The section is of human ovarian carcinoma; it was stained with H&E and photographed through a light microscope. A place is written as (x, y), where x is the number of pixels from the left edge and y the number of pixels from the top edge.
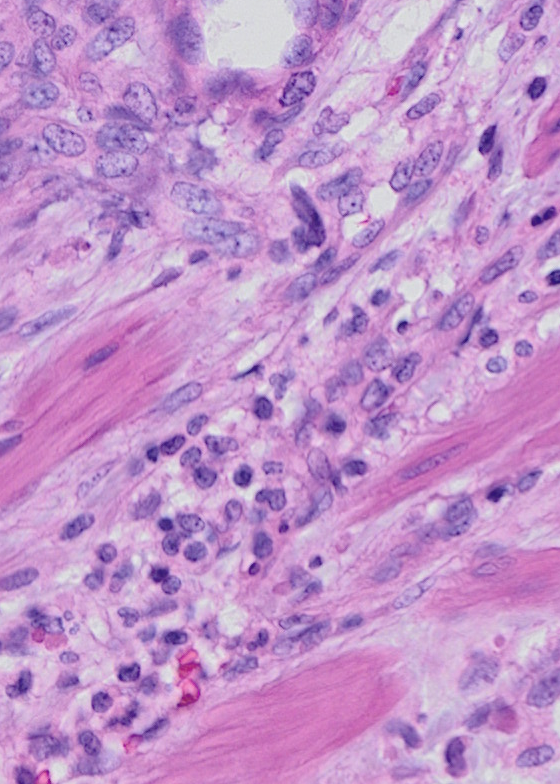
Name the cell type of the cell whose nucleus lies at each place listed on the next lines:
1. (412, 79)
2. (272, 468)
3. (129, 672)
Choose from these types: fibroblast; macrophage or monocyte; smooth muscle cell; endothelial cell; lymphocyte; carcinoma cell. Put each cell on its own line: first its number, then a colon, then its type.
1: endothelial cell
2: macrophage or monocyte
3: lymphocyte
